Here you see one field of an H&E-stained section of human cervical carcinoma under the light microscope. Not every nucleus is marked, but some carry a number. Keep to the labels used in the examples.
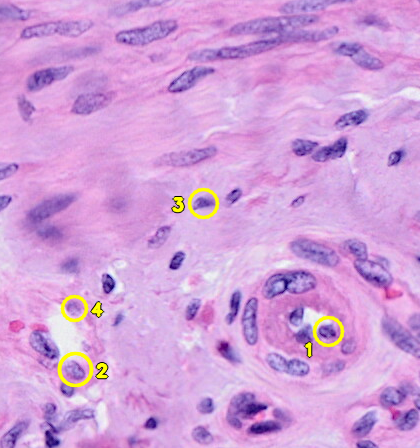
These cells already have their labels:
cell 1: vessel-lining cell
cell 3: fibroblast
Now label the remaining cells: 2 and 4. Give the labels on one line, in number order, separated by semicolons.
vessel-lining cell; vessel-lining cell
